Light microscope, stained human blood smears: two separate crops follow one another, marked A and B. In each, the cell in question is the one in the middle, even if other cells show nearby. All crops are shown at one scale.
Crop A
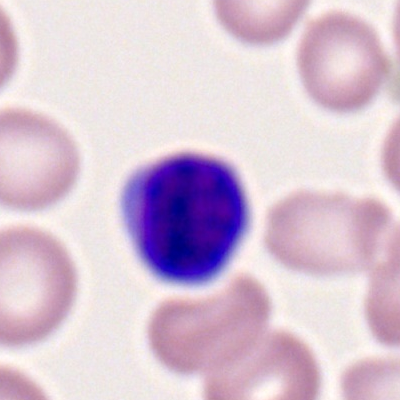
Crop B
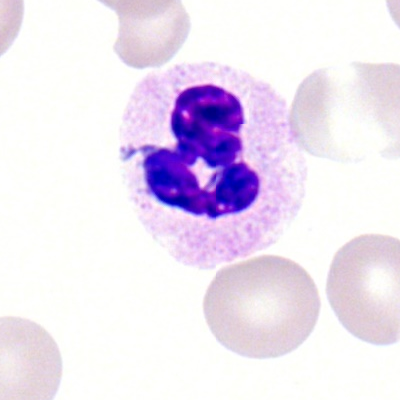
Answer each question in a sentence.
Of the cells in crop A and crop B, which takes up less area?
The cell in crop A is smaller; the one in crop B has about 2 times its area.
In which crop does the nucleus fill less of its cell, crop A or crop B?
In crop B the nucleus takes up the smaller part of its cell.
